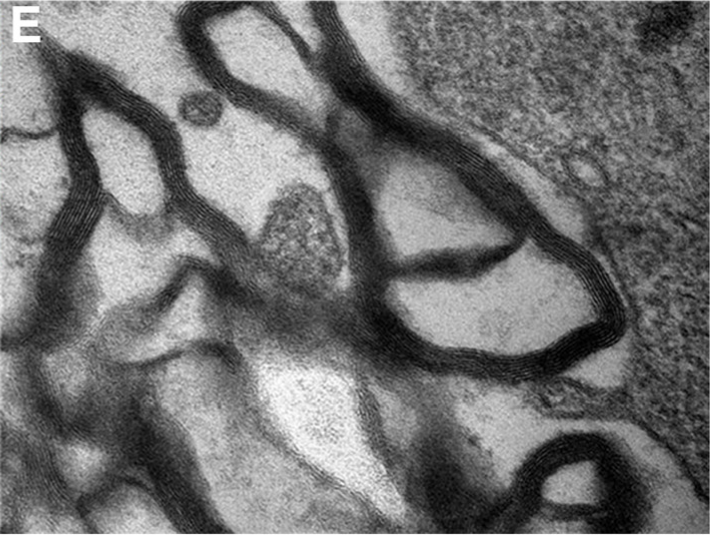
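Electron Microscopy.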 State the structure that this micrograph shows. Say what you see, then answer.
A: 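Thick dark bands made of many fine parallel lamellae curve and loop across the field. The lamellae run alternately dark and light, like stripes.
Conclusion: zebra-like body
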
